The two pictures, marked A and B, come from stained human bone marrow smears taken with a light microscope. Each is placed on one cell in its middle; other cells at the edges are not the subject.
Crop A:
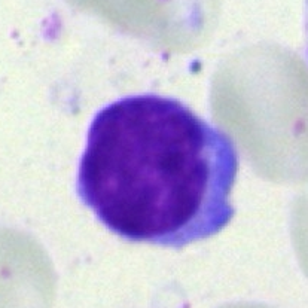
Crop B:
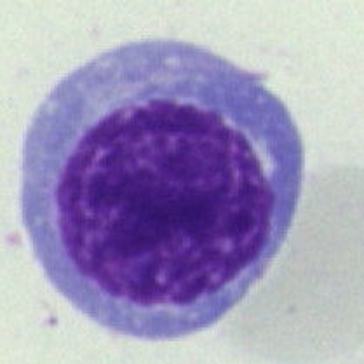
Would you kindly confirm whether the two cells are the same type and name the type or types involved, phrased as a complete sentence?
No, on this set crop A shows a lymphocyte and crop B shows an erythroblast.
